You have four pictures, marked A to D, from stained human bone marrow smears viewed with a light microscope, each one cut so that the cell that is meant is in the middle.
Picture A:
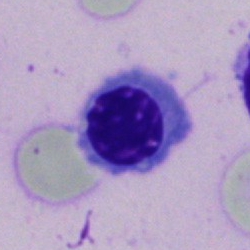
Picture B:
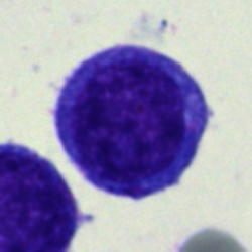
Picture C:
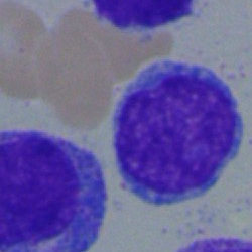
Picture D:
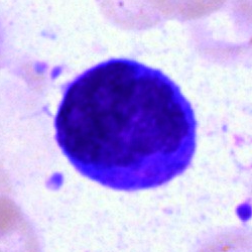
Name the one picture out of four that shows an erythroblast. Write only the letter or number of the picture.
A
